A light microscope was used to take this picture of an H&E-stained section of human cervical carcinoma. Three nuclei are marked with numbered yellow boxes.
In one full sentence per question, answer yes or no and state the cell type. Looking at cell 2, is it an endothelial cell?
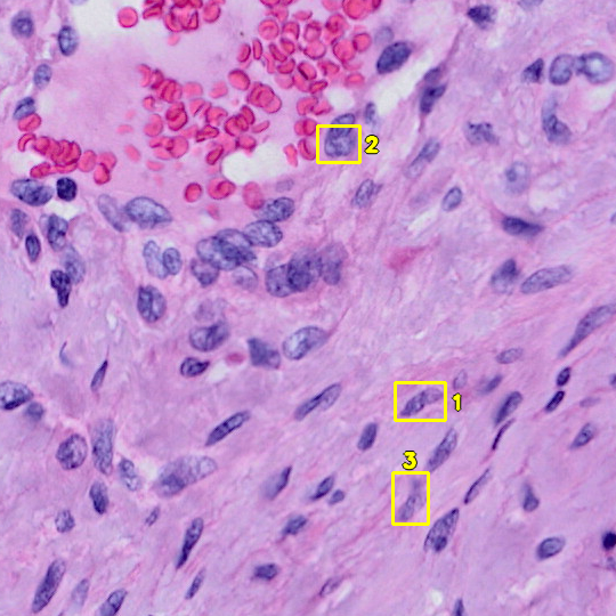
Yes, the cell that number 2 points to is an endothelial cell.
